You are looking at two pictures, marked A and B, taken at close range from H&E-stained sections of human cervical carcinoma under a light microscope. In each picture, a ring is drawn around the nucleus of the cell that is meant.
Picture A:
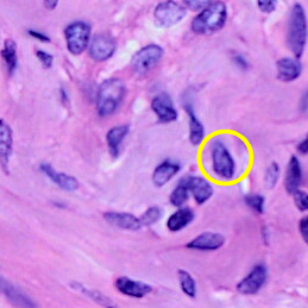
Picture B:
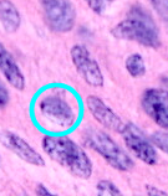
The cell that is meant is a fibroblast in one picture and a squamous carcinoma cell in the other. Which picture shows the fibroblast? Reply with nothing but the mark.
A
